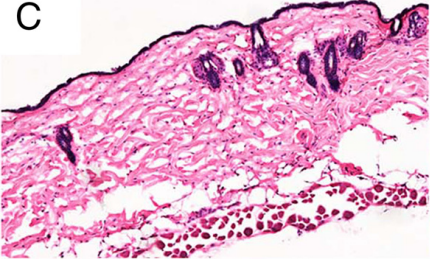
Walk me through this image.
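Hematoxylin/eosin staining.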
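This is skin with a thin, even surface layer over a loose dermis of wavy pink fibres. Scattered hair follicles appear as dark purple clusters, and few nuclei lie between the fibres.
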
